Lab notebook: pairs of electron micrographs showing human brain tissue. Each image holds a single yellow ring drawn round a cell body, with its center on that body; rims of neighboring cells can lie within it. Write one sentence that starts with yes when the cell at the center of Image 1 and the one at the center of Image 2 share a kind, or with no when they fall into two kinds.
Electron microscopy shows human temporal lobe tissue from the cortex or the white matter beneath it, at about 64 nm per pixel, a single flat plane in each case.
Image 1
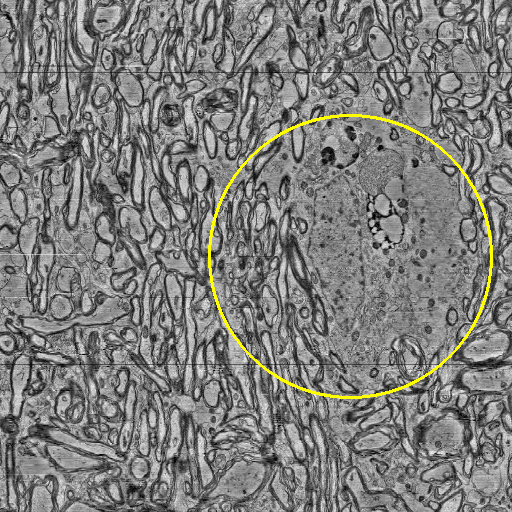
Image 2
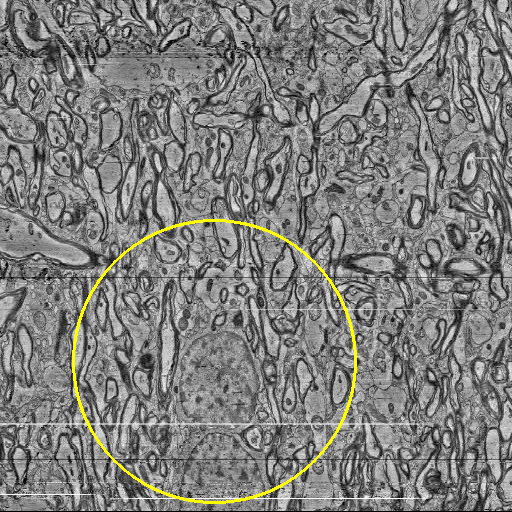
No, the centered cell in Image 1 and the centered cell in Image 2 are of two kinds.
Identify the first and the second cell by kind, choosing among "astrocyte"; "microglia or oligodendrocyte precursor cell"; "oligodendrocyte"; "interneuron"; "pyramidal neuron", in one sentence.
The one in the first picture is an astrocyte, while the one in the second is an oligodendrocyte.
